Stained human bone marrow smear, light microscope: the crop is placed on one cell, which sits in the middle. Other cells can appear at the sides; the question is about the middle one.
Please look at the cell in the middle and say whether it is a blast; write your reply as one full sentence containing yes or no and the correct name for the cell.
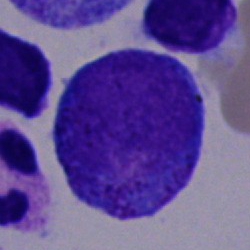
No, the central cell in this crop is a promyelocyte and not a blast.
